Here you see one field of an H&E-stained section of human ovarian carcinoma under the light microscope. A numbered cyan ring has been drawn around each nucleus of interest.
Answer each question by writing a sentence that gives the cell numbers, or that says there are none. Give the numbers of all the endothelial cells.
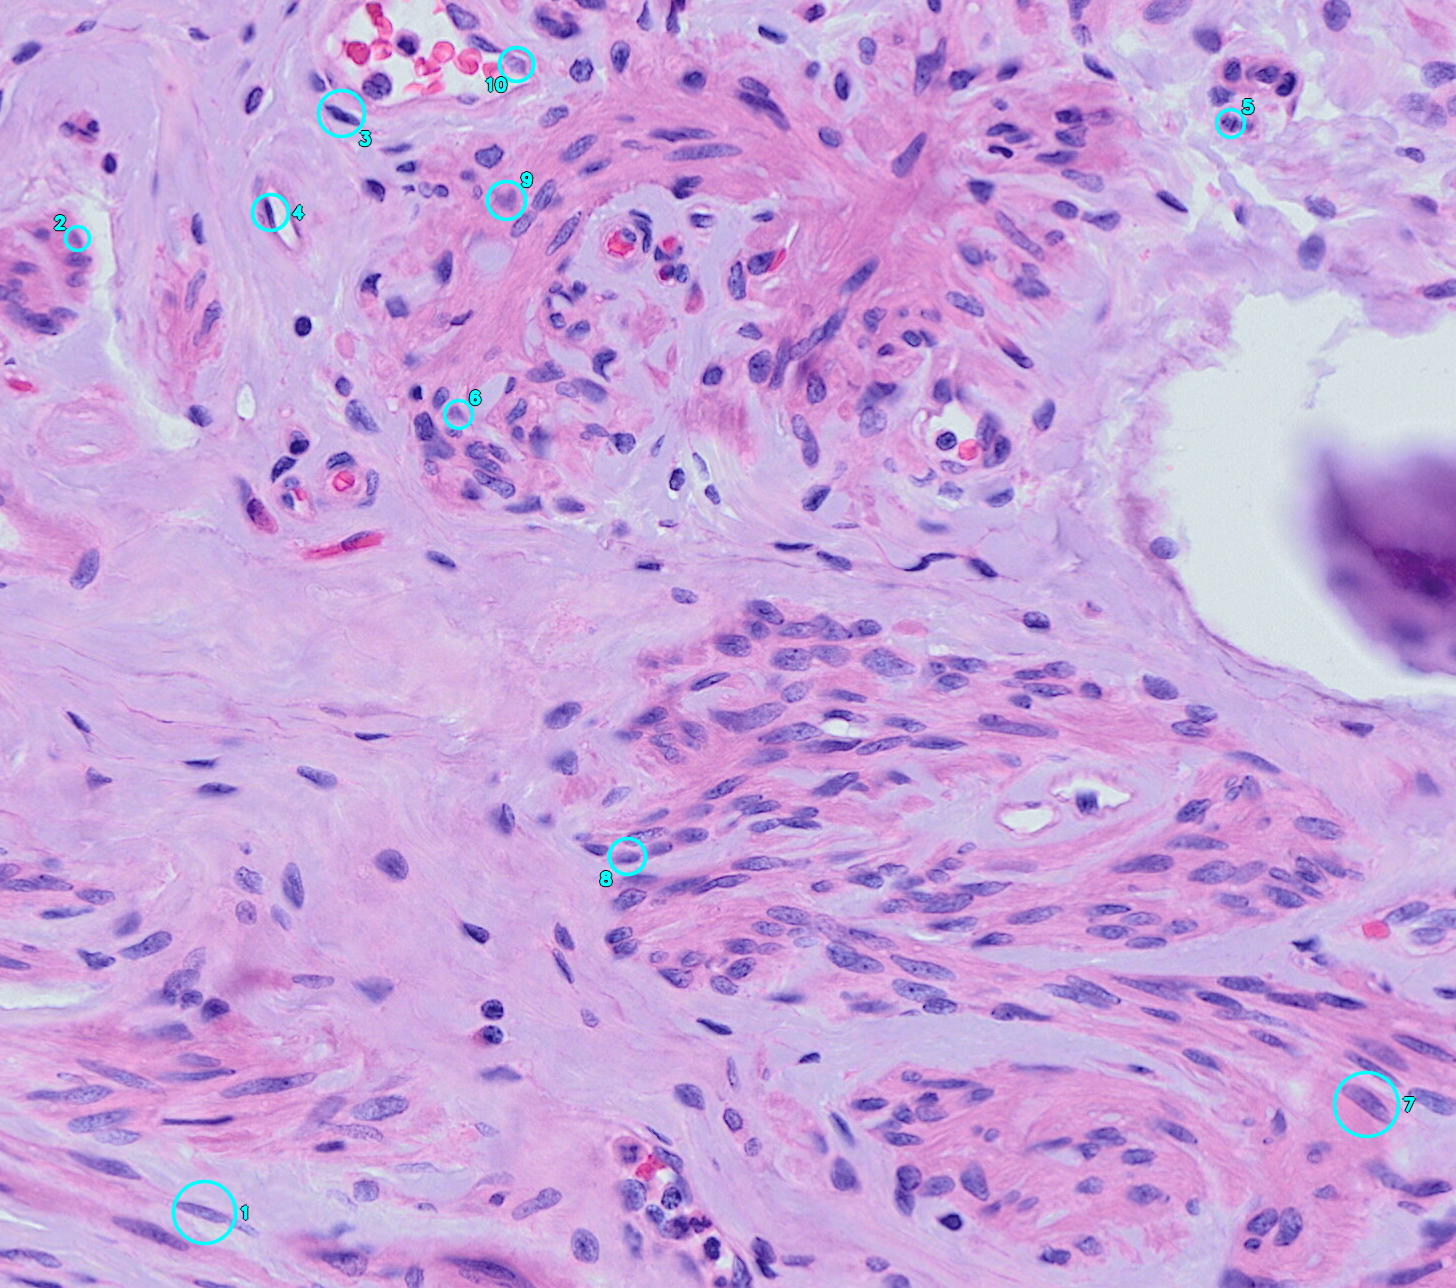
The numbers 4, 5 and 10 in this section indicate endothelial cells.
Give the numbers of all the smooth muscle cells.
The cells tagged 1, 2, 6, 7, 8 and 9 are smooth muscle cells in this tissue section.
